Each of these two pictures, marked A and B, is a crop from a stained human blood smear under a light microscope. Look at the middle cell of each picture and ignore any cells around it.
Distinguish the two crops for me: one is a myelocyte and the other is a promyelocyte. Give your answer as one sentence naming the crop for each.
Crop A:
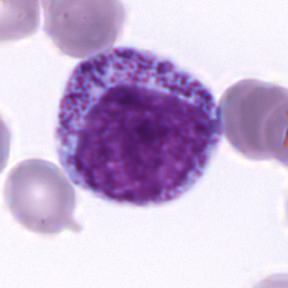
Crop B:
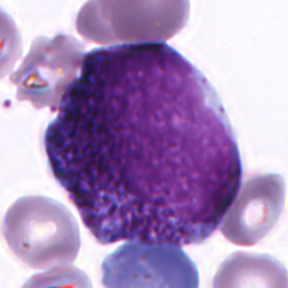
Identification: crop A is a myelocyte; crop B is a promyelocyte.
